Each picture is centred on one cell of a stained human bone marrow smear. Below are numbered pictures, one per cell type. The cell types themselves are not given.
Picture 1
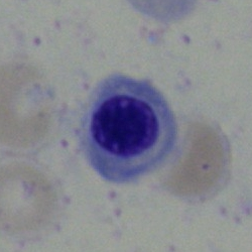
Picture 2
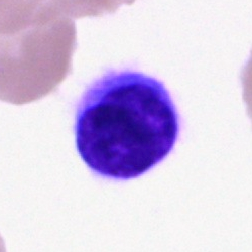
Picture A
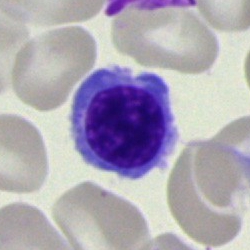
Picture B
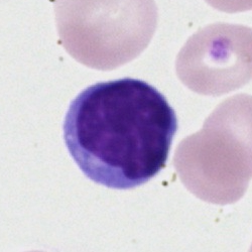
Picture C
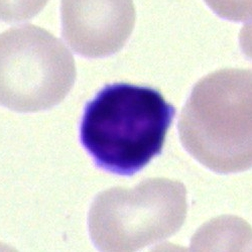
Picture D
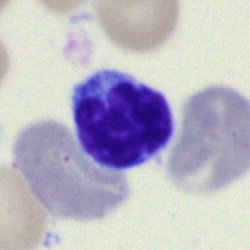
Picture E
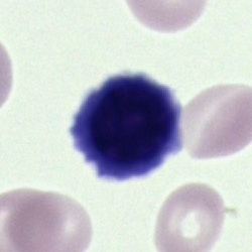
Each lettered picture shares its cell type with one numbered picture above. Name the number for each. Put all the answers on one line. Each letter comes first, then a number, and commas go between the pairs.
A 1, B 2, C 2, D 2, E 1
